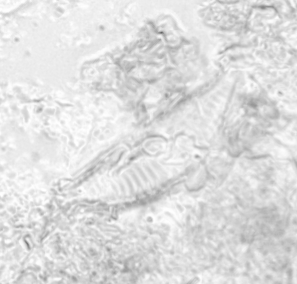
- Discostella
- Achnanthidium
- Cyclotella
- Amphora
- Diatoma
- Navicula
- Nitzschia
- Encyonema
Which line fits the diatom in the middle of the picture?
Encyonema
